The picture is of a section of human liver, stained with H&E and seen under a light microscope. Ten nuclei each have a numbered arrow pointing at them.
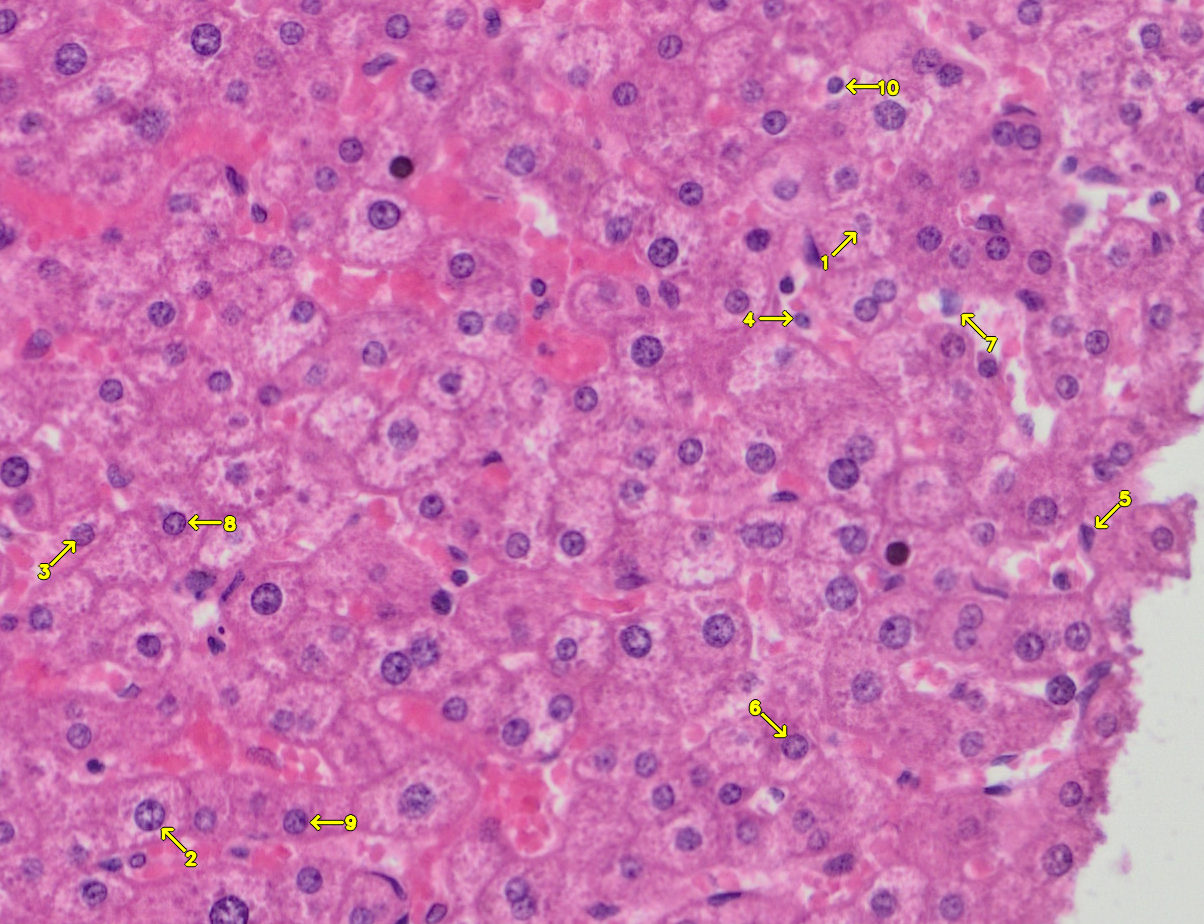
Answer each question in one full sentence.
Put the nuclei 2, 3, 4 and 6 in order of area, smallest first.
The order from the smallest nucleus to the largest is 4, 3, 6, 2.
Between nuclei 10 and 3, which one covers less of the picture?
Nucleus 10 covers less area, with nucleus 3 about 1.5 times as large.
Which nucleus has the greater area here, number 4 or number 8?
Nucleus 8 covers more area, about 1.5 times as much as nucleus 4.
